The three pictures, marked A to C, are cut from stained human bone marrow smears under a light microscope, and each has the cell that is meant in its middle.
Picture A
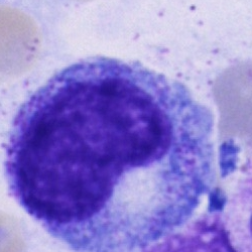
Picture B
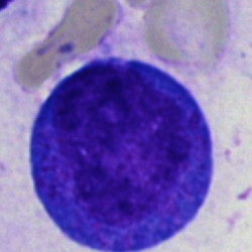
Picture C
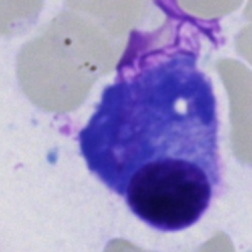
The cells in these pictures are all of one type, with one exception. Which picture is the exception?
C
